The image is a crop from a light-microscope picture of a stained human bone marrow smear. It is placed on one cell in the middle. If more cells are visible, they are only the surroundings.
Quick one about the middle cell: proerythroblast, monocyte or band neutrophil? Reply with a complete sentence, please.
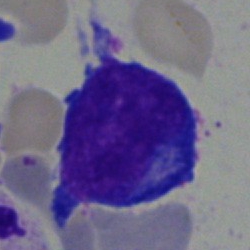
Classified as a proerythroblast is the cell in the middle of this crop.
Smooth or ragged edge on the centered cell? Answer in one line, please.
Its surface contour departs from smoothness through ragged edges or outward projections.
